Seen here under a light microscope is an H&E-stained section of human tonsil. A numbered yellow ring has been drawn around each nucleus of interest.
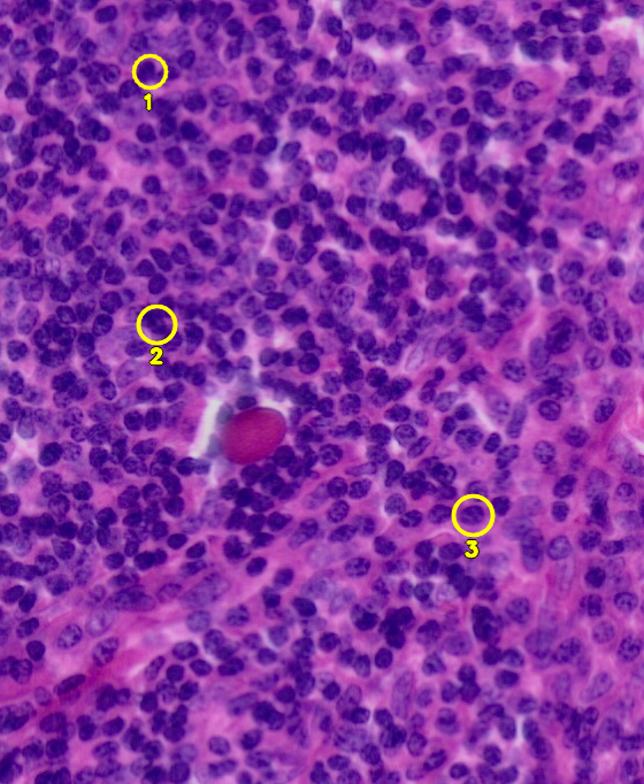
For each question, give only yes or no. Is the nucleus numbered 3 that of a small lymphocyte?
no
